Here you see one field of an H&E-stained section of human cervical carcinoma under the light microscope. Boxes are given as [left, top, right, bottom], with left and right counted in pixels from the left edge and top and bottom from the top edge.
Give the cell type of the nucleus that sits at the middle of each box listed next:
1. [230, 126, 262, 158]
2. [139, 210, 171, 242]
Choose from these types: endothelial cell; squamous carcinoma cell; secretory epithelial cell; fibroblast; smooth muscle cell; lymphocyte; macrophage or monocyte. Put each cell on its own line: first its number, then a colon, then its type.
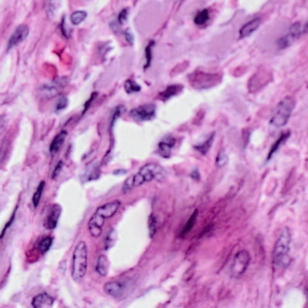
1: fibroblast
2: endothelial cell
